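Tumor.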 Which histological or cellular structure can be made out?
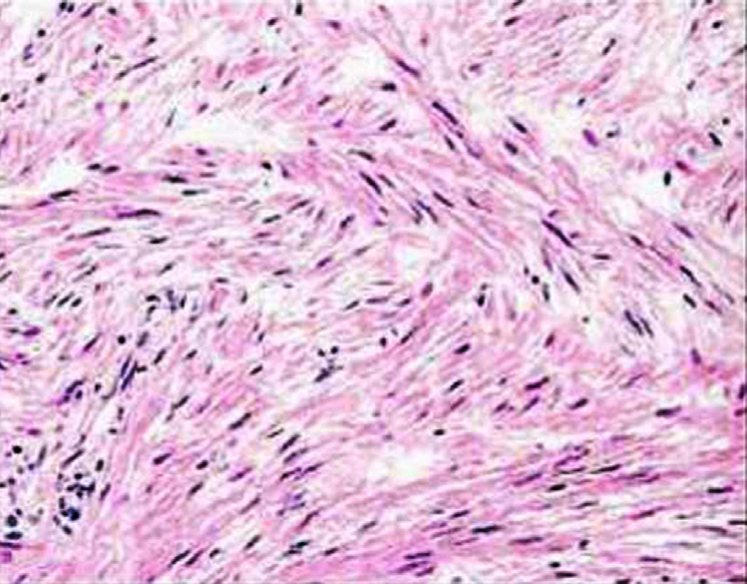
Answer: Interlacing fascicles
